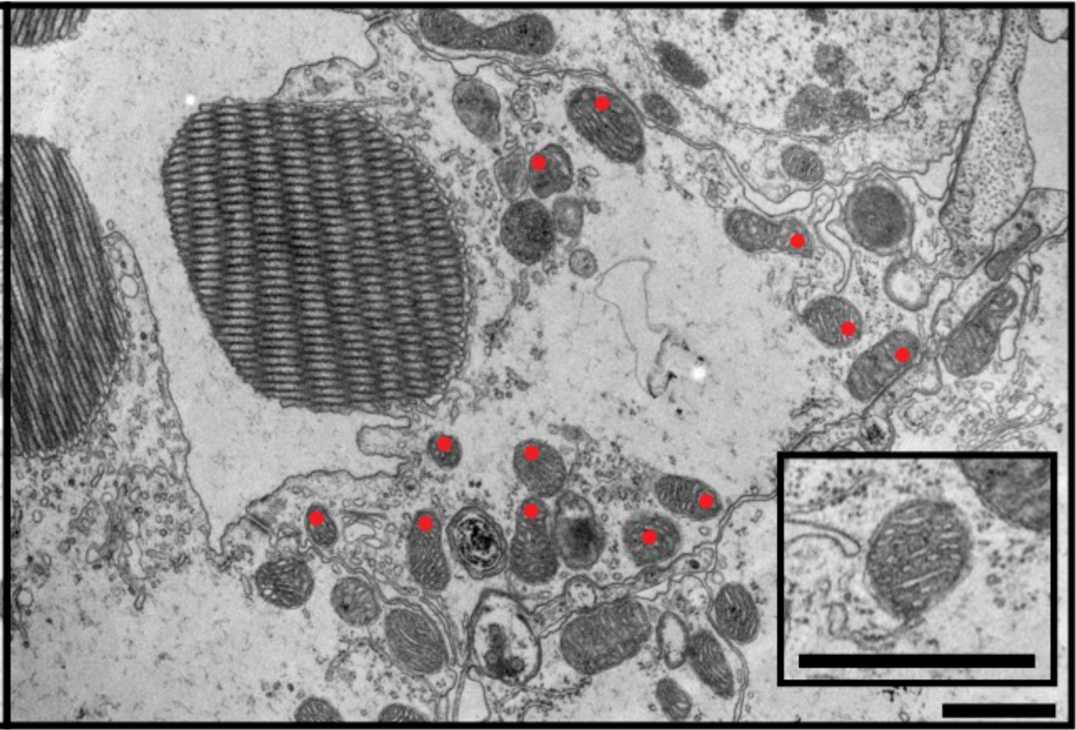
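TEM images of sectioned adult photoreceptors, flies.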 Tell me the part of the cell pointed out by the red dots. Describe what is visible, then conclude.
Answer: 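The red dots sit on many small oval membrane-bound organelles. The marked organelles show internal cristae. The answer: Mitochondria.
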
